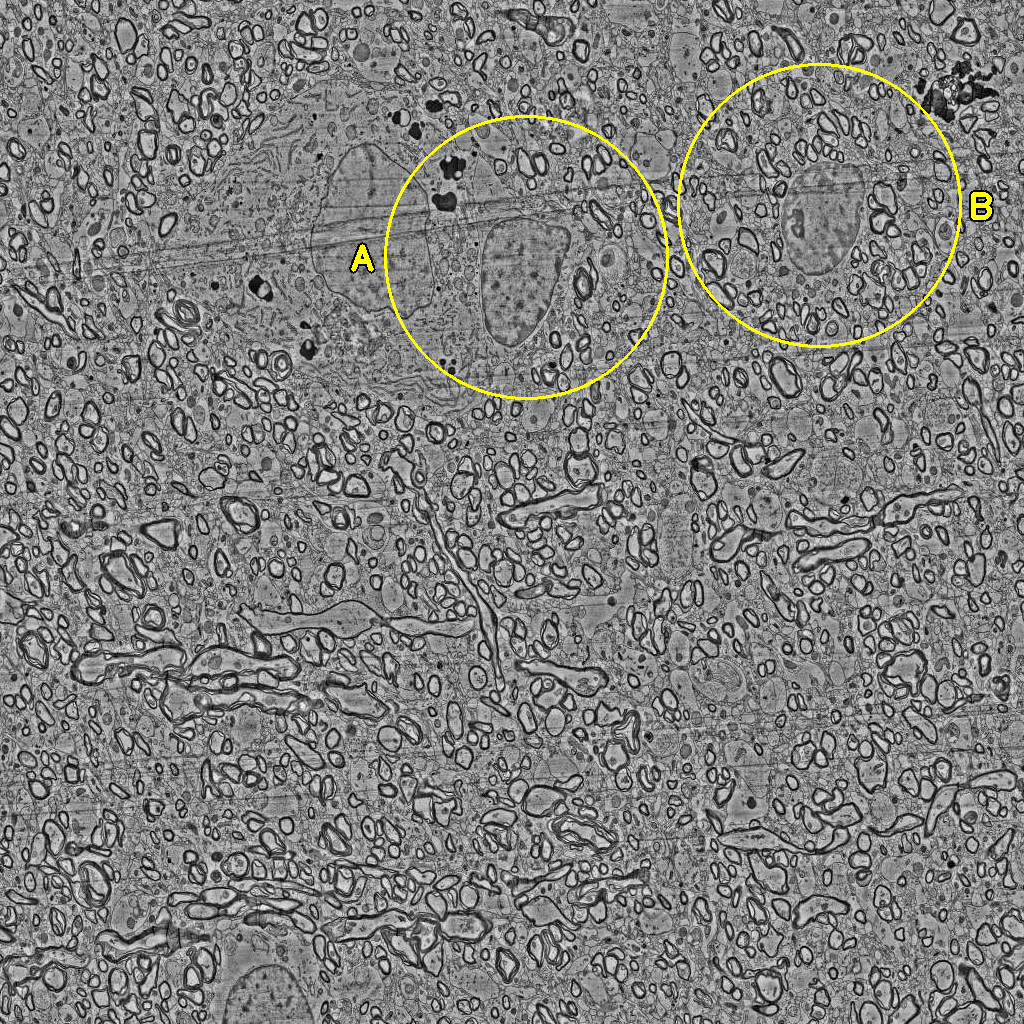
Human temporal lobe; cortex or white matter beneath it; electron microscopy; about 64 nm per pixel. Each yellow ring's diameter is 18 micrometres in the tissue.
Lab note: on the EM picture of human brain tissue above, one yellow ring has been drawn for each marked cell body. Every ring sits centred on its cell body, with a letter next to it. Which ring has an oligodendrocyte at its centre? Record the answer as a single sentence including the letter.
Noted: the cell in question is at the centre of ring B.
